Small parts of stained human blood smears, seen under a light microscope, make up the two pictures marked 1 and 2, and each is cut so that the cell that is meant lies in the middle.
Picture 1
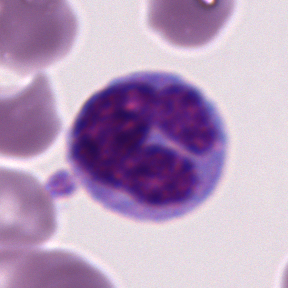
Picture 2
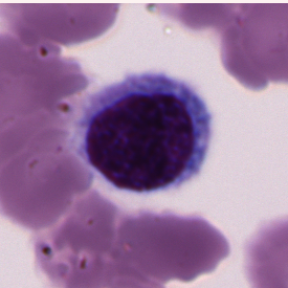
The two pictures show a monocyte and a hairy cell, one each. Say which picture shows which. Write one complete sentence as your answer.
Picture 1 is of a monocyte, and picture 2 is of a hairy cell.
